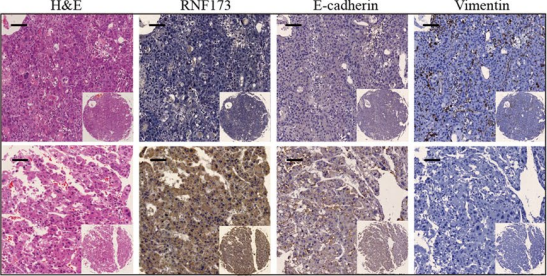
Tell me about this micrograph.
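The first image of each row is stained pink and purple, showing sheets and trabeculae of closely packed tumour cells with dark round nuclei and pink cytoplasm, separated by thin spaces. In the upper row the tumour cells are mostly blue, with little brown. In the lower row the second image is stained a strong, diffuse brown throughout the cytoplasm of the tumour cells, while the last image stays largely blue.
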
